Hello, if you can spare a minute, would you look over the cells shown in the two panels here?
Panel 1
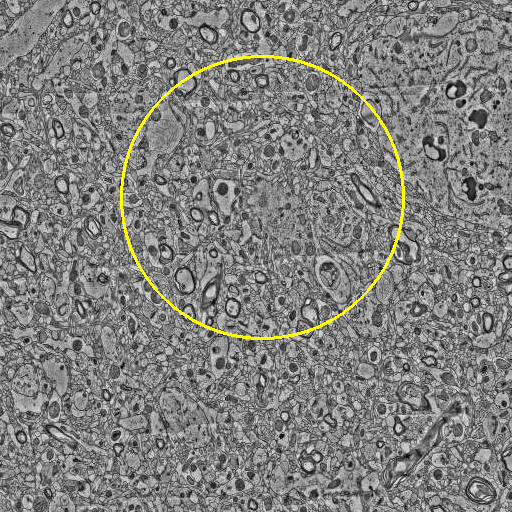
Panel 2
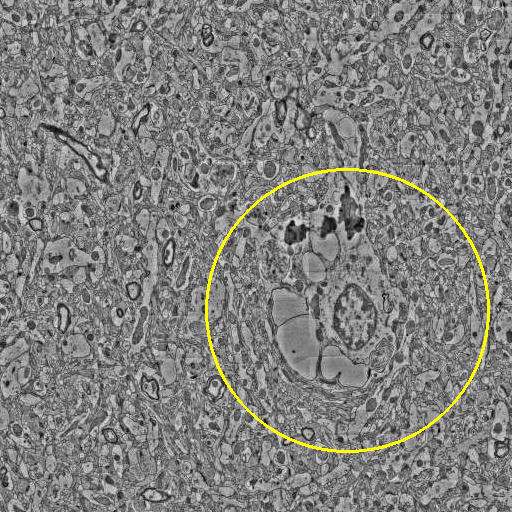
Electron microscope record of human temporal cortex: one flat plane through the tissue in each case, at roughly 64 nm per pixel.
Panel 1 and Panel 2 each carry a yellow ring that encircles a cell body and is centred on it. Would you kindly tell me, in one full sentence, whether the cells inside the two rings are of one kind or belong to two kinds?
The cells at the centres of the rings in Panel 1 and Panel 2 belong to two kinds.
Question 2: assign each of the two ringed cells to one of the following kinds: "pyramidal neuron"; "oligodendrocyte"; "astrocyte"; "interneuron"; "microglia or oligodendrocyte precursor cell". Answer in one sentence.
The two cells are an oligodendrocyte in the first picture and an astrocyte in the second.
